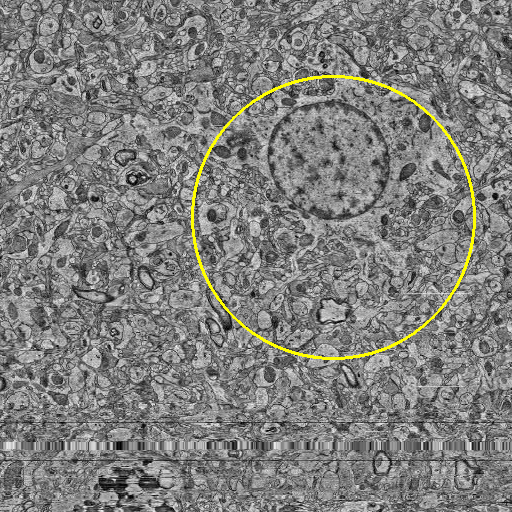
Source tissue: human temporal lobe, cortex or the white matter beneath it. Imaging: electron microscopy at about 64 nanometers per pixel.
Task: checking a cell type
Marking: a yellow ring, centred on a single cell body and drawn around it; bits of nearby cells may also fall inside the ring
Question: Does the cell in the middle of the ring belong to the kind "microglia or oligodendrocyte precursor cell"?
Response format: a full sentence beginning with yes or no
No, the cell marked at the ring's centre in the picture is of a different kind.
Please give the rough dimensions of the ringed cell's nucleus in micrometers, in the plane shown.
In this plane, the nucleus measures approximately 8 micrometres across.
